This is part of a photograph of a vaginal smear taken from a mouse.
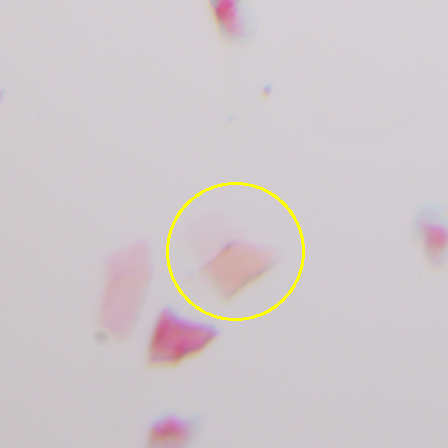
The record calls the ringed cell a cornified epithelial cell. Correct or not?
Correct; it is a cornified epithelial cell.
